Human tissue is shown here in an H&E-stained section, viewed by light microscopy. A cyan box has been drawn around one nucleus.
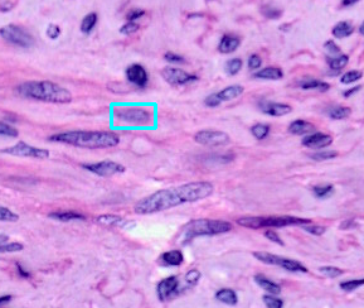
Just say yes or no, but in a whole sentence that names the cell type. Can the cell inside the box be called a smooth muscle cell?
Yes, that the cell inside the box is a smooth muscle cell is correct.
